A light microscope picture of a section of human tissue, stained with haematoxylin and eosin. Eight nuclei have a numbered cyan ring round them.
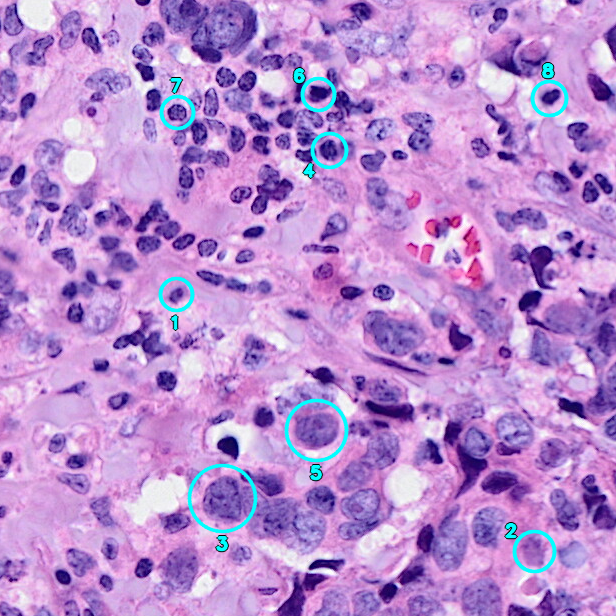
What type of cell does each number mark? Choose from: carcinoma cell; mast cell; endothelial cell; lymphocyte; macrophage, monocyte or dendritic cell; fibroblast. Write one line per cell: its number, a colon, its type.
1: lymphocyte
2: carcinoma cell
3: carcinoma cell
4: lymphocyte
5: carcinoma cell
6: lymphocyte
7: lymphocyte
8: lymphocyte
